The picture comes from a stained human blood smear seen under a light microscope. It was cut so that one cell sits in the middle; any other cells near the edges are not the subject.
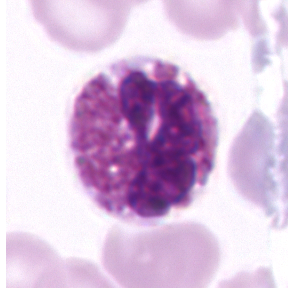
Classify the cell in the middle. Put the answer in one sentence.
The cell in the exact centre of the crop is an eosinophil.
